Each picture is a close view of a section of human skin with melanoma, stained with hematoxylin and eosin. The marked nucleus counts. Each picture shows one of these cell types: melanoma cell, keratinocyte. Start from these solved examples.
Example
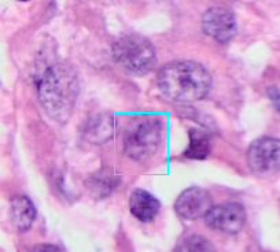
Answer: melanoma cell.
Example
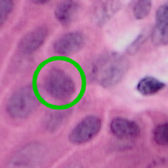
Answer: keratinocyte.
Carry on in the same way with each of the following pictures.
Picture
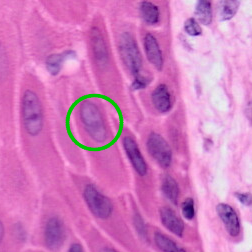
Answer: keratinocyte.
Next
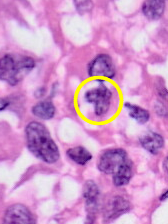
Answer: melanoma cell.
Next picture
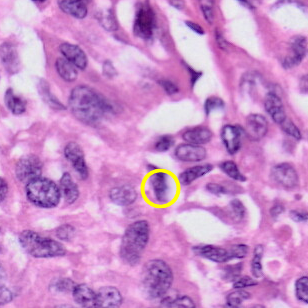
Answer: melanoma cell.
